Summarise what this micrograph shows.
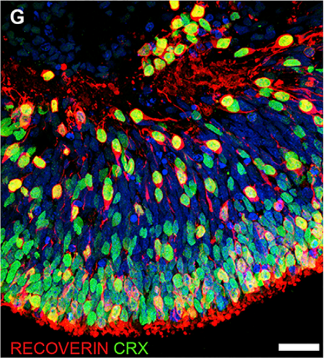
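Look at the cells whose oval nuclei glow green and whose thin rim of cytoplasm glows red; they appear yellow-orange where the colours overlap. They are most crowded toward the outer edge, at the bottom, where the red makes a bright continuous border. Red fibres and slender processes run up through the wall between elongated blue nuclei that carry no green. Near the top a cluster of rounder double-coloured cells sits among red processes.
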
